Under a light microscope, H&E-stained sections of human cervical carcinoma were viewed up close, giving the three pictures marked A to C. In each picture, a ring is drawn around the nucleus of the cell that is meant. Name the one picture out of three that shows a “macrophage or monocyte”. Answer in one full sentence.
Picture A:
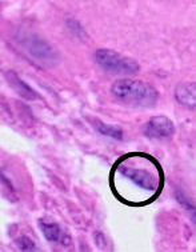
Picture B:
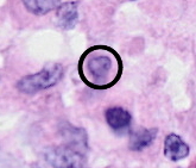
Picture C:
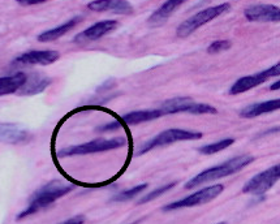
The “macrophage or monocyte” is the one in picture B.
